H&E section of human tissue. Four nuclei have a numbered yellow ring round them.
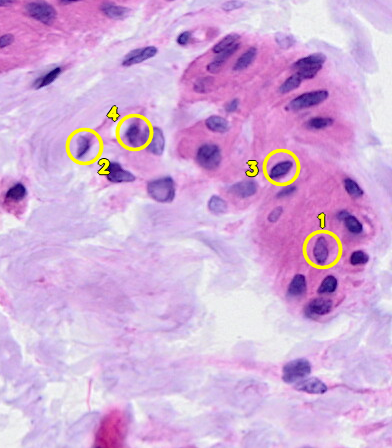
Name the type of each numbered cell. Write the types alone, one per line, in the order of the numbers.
smooth muscle cell
fibroblast
smooth muscle cell
endothelial cell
